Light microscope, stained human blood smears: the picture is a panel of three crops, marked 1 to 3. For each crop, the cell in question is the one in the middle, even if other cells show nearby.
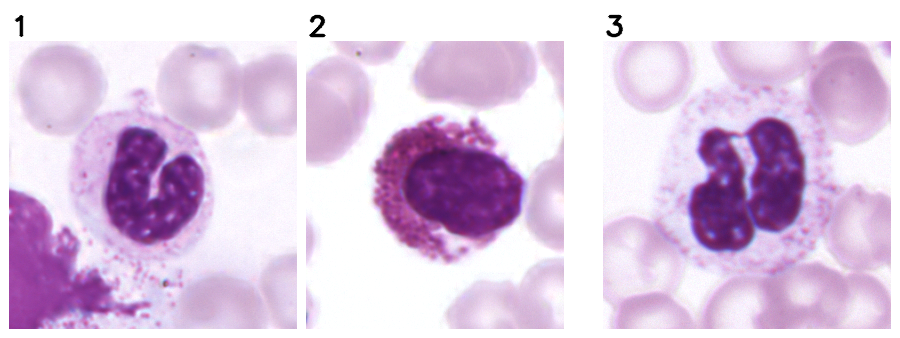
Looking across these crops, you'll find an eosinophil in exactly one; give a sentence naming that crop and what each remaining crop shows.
Crop 2 is the one showing an eosinophil, whereas crop 1 is a band neutrophil and crop 3 is a segmented neutrophil.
